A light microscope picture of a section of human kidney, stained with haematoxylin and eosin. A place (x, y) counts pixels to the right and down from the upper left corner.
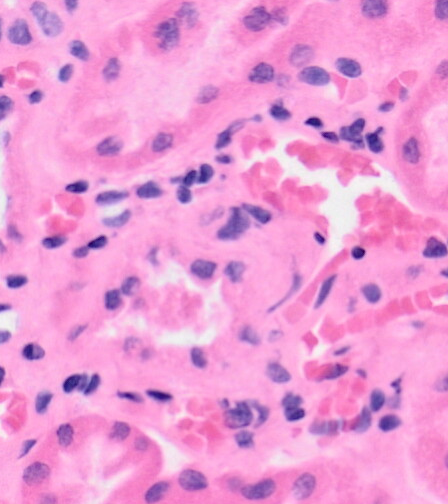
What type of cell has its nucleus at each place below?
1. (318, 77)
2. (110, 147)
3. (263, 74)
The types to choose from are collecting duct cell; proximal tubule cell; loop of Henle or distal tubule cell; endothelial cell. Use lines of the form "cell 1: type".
cell 1: endothelial cell
cell 2: proximal tubule cell
cell 3: proximal tubule cell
